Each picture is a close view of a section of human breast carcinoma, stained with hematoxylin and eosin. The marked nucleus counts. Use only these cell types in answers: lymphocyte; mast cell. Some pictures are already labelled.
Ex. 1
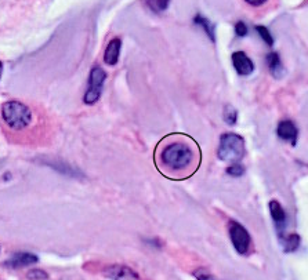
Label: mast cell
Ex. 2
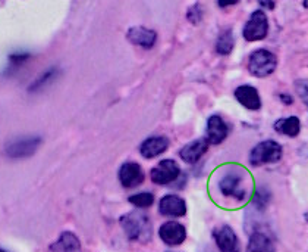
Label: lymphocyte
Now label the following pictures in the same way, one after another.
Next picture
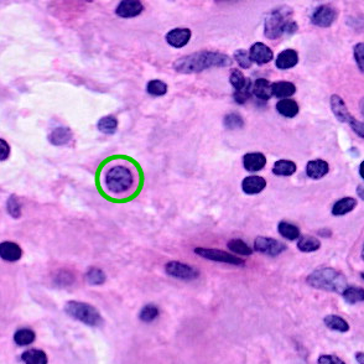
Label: mast cell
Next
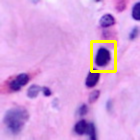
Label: lymphocyte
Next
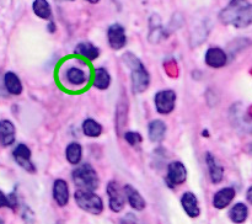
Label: lymphocyte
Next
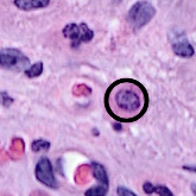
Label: mast cell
